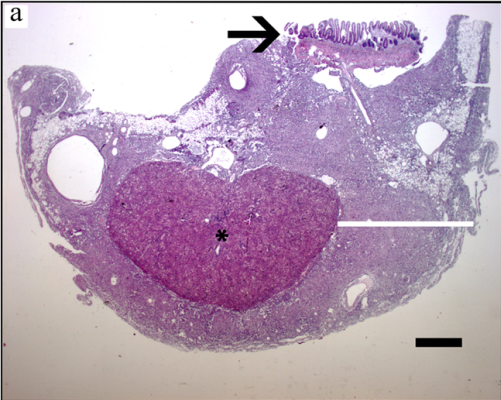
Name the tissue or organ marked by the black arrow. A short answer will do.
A: Intestine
